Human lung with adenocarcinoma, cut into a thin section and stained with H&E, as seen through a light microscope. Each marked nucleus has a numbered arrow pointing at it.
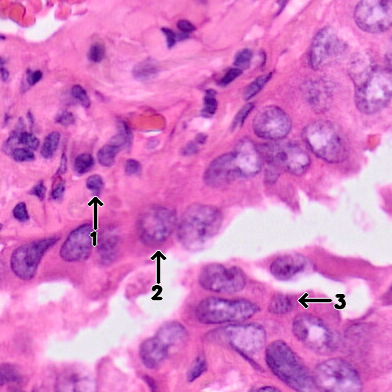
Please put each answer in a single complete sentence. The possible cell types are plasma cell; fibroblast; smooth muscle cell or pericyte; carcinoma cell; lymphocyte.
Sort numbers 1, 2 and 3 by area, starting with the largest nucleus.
Going from the biggest nucleus down to the smallest gives 2, 3, 1.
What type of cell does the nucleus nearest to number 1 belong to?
The cell nearest to number 1 is a plasma cell.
